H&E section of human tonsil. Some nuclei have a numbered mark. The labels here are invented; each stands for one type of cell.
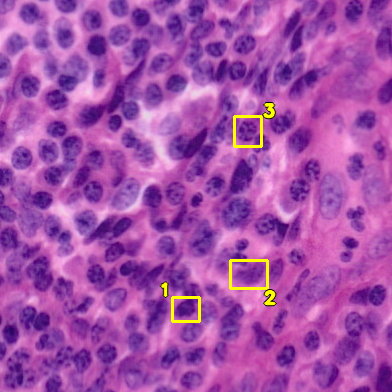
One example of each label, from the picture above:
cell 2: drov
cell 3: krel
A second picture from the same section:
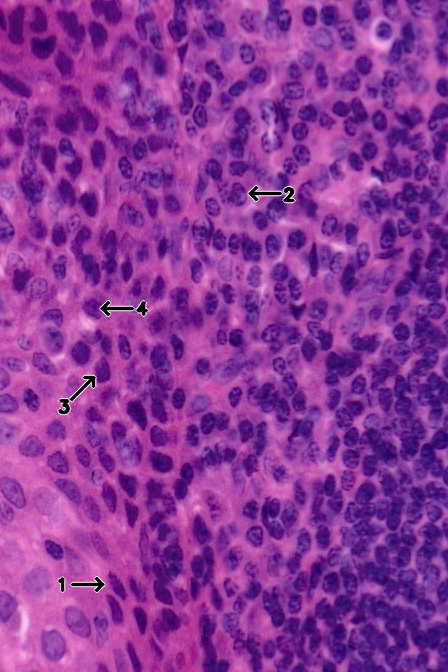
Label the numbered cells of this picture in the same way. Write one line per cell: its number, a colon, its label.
1: drov
2: krel
3: drov
4: drov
